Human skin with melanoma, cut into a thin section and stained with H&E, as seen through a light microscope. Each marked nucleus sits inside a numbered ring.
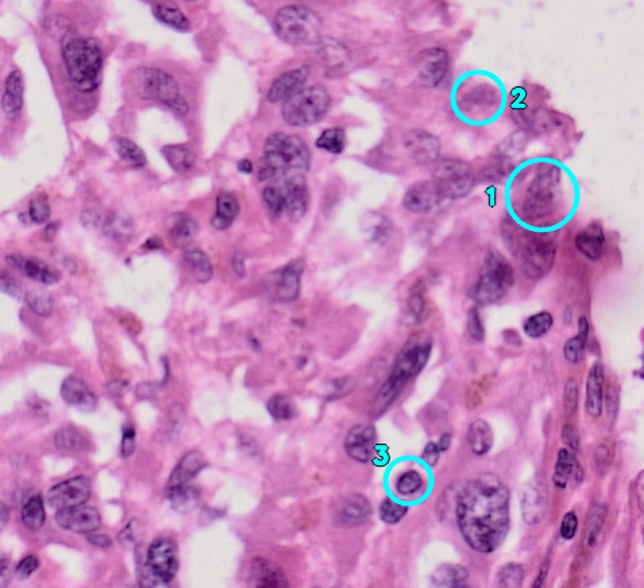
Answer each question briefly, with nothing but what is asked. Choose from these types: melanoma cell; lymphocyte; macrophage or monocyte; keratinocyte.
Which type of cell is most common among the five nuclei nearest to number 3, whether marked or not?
lymphocyte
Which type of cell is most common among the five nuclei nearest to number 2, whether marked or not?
melanoma cell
